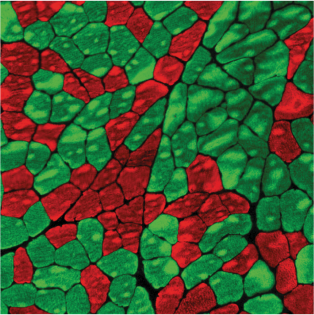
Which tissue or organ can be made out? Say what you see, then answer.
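Tightly packed polygonal profiles form a mosaic across the whole field. The profiles are separated only by thin dark spaces. Two kinds of profiles, green and red, are intermixed.
Muscle.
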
